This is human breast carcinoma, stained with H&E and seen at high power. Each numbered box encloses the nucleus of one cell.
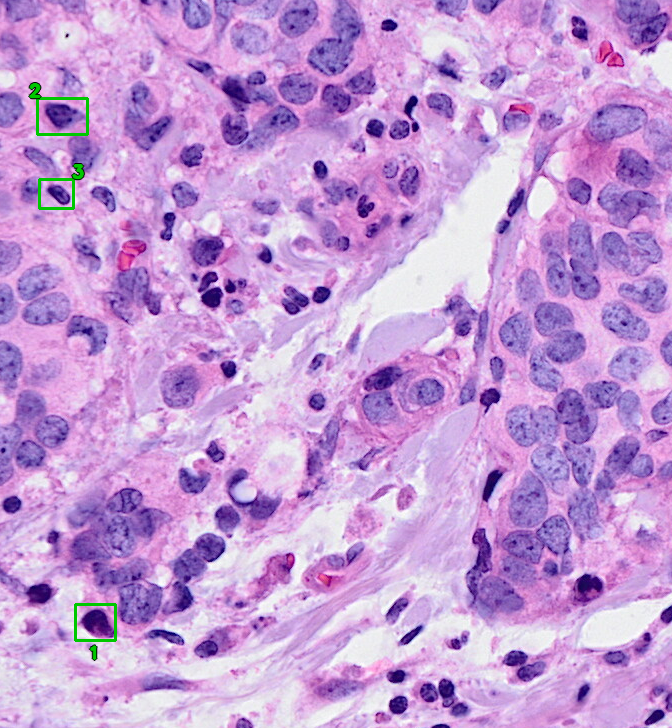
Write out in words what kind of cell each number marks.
Cells 1 and 2 are carcinoma cells. Cell 3 is a lymphocyte.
